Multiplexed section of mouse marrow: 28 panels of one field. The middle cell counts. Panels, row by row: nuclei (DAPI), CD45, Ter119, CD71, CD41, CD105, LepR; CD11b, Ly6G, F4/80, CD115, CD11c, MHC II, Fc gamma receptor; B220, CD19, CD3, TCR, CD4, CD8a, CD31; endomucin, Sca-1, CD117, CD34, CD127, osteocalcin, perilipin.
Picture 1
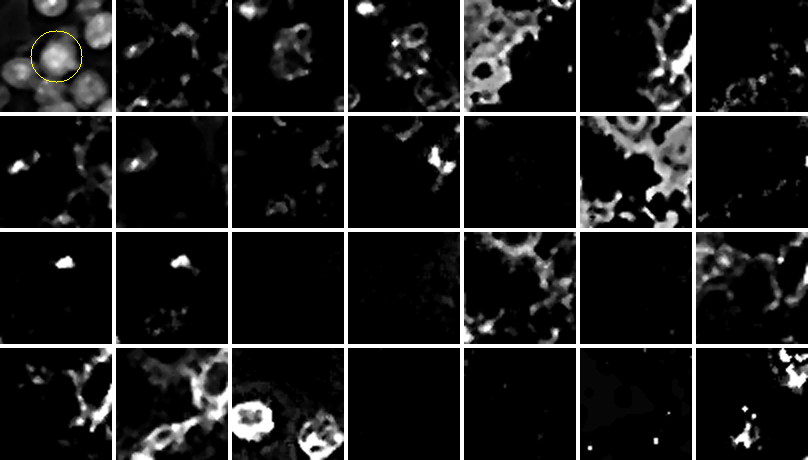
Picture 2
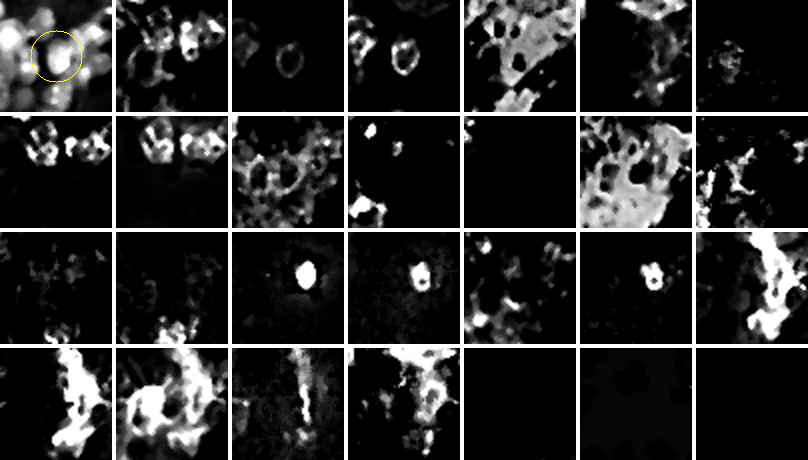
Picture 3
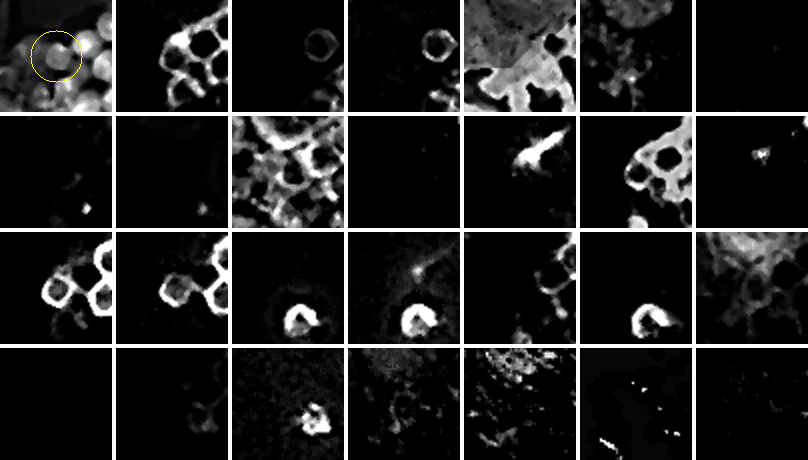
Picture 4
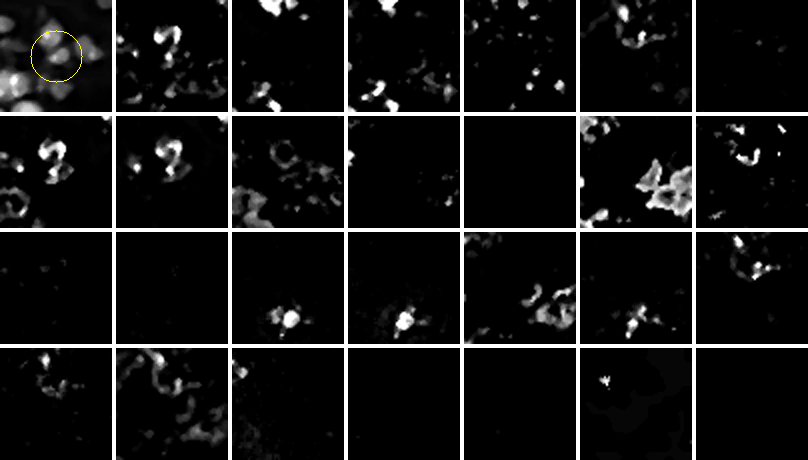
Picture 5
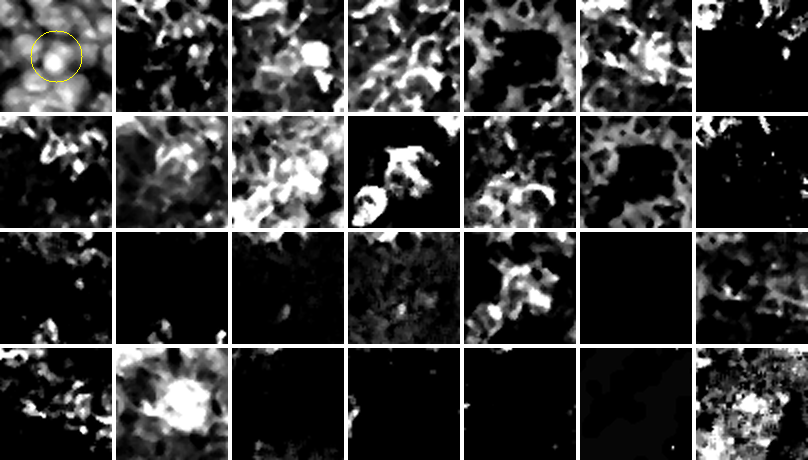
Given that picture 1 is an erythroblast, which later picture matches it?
5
